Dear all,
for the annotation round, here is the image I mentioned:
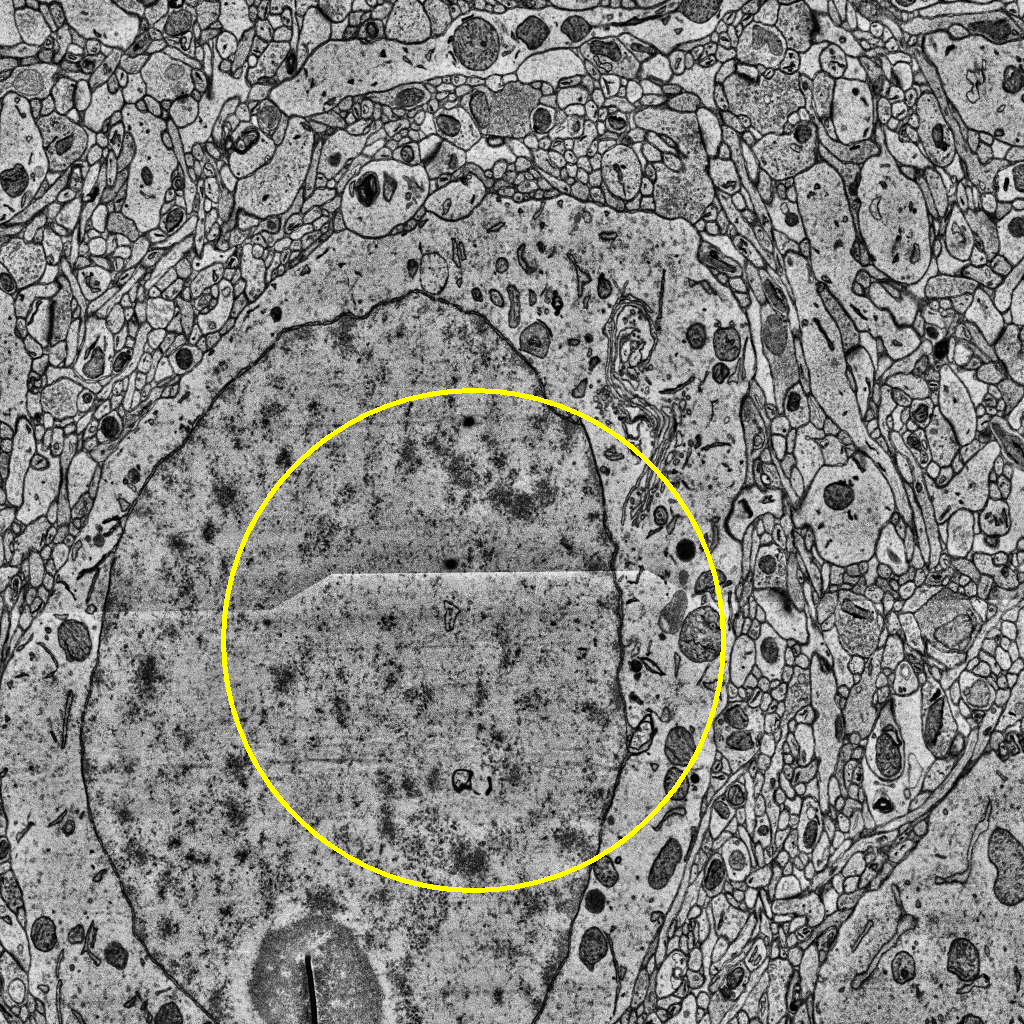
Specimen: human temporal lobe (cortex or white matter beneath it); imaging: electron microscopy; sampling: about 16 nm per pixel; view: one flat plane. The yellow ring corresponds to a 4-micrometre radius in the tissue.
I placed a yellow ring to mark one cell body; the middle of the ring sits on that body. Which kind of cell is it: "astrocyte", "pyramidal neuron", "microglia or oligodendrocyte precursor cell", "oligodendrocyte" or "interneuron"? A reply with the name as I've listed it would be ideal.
pyramidal neuron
